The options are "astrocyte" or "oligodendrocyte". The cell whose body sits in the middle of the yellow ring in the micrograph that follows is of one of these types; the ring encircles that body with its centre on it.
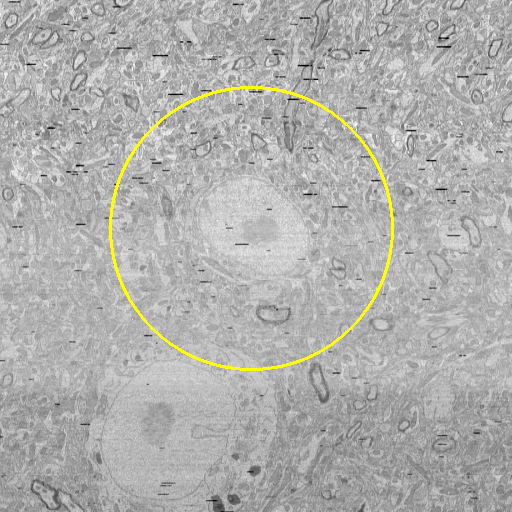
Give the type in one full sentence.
Going by the micrograph, the cell centred in the yellow ring is an astrocyte.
